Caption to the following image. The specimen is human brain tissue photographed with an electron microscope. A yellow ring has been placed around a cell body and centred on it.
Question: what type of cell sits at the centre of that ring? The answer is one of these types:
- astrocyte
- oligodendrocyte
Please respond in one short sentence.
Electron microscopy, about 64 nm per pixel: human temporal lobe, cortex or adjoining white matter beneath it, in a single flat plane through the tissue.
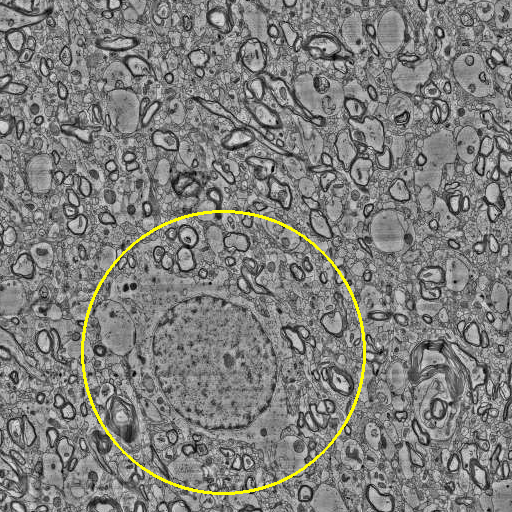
The ring surrounds the cell body of an astrocyte.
